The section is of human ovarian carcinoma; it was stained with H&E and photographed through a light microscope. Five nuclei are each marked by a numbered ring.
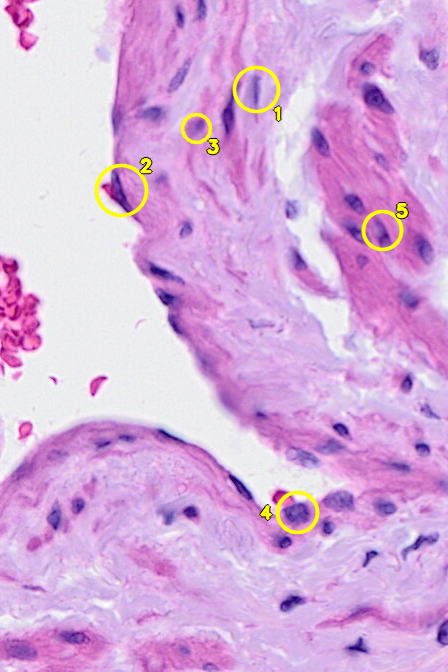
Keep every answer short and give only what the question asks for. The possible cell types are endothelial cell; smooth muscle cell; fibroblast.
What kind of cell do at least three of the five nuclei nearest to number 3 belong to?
smooth muscle cell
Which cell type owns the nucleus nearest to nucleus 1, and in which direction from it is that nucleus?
a smooth muscle cell below and to the left of nucleus 1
